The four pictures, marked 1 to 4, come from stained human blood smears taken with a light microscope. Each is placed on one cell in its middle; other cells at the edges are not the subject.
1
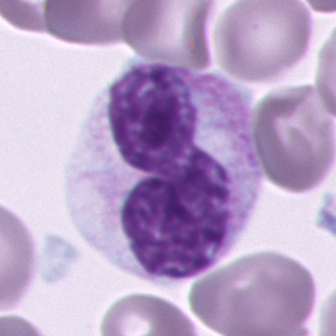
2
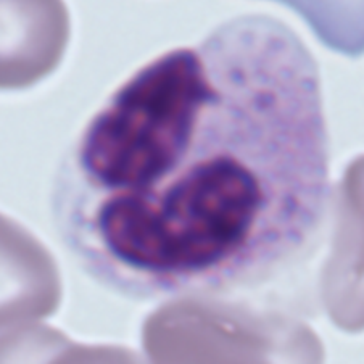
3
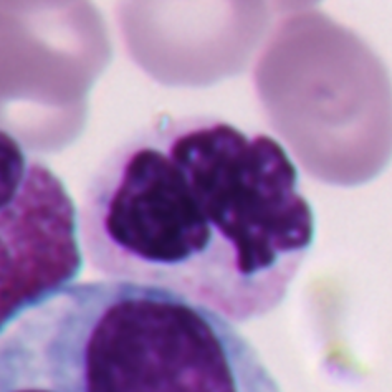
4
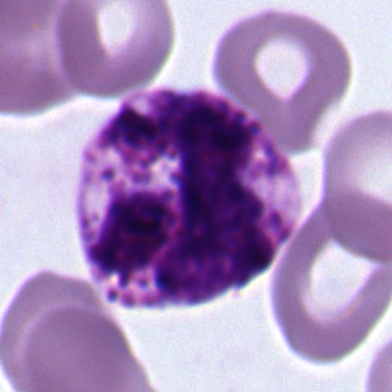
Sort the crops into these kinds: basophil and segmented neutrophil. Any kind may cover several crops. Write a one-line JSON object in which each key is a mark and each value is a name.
{"1": "segmented neutrophil", "2": "segmented neutrophil", "3": "segmented neutrophil", "4": "basophil"}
